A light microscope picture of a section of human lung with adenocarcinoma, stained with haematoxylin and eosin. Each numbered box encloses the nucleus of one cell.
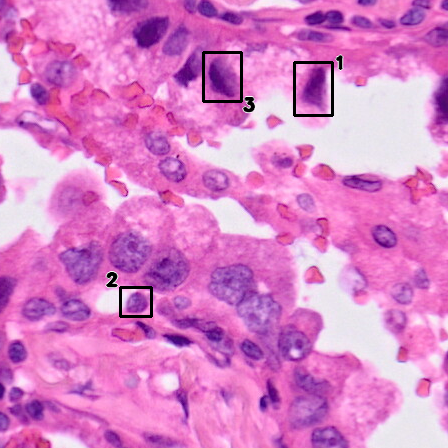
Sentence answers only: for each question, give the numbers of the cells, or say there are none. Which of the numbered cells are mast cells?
None of the numbered cells are mast cells.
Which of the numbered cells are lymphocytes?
The sole numbered cell that is a lymphocyte is cell 2.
